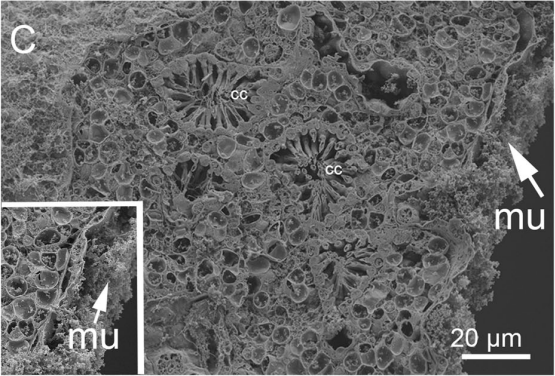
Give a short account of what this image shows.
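In each chamber, elongated cells are arranged radially around a small central space, like the petals of a flower. The surrounding tissue is a loose mesh of round and oval cell outlines and hollows of varied size.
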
